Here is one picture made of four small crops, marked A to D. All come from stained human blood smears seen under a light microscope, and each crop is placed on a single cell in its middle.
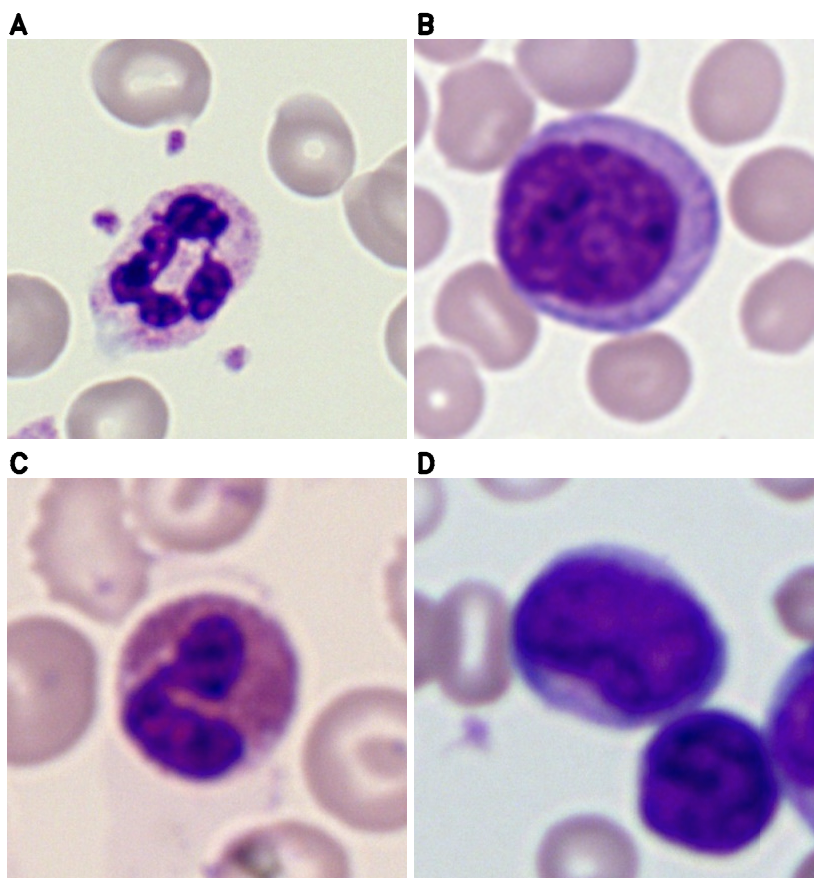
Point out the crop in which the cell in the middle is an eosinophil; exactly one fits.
C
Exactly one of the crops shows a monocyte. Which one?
B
